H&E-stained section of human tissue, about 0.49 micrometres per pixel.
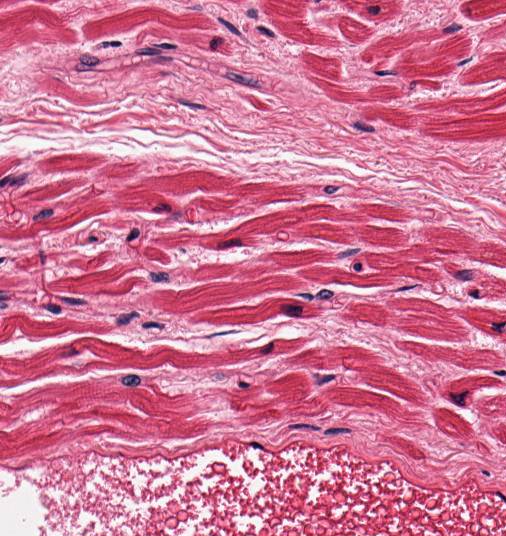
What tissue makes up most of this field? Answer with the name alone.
myocardium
